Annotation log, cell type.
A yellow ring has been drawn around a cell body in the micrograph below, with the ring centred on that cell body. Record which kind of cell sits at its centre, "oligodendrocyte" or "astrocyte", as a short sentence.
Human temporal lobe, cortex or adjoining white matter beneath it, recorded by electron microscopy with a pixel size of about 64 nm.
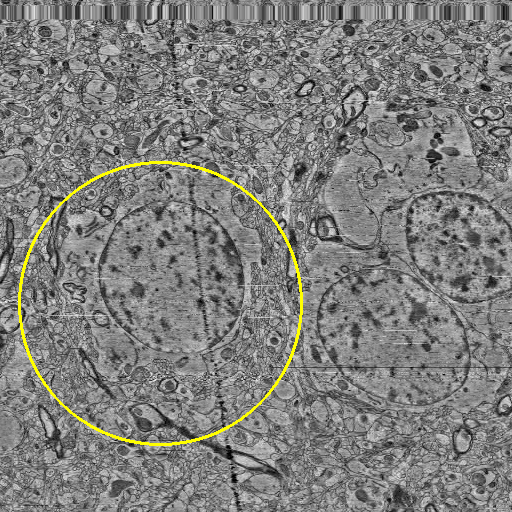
The cell at the centre of this ring is an astrocyte.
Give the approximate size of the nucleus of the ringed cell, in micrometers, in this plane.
The nucleus works out at approximately 11 by 9 micrometres in this plane.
